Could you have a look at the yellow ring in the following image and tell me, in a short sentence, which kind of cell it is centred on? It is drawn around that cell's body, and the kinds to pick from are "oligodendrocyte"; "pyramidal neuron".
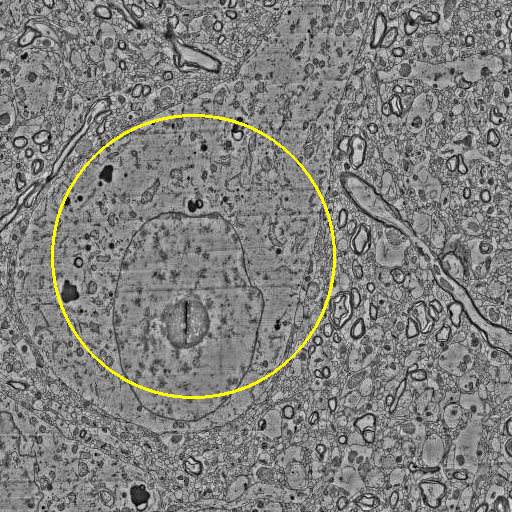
The ring is centred on the body of a pyramidal neuron.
